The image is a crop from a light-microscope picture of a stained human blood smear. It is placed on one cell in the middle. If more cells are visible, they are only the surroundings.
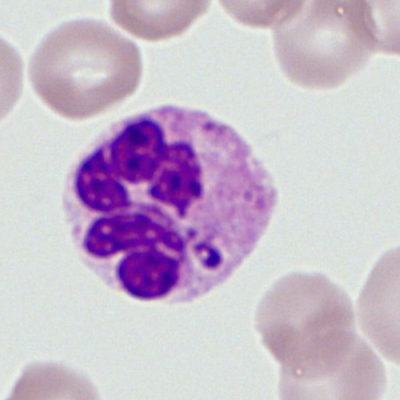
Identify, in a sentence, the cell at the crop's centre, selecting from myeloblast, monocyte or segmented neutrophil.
For this crop, the cell in the middle is a segmented neutrophil.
